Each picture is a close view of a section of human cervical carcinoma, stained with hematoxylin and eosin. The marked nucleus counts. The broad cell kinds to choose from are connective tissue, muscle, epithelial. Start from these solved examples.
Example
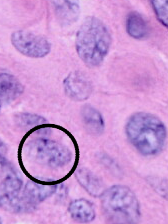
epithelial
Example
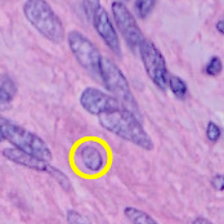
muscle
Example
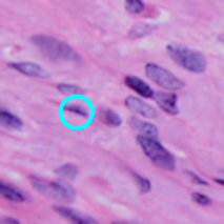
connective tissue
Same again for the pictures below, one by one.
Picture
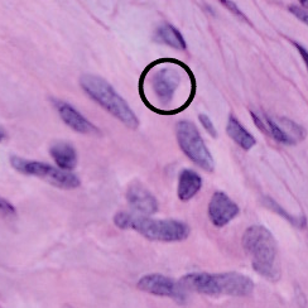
connective tissue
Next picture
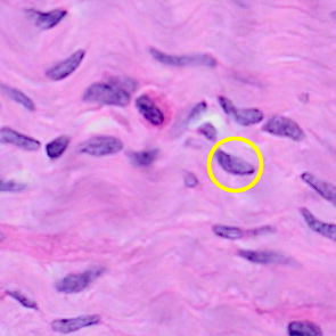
connective tissue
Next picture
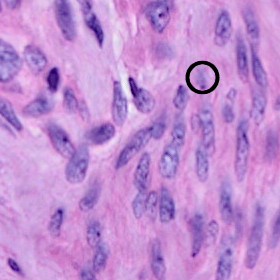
muscle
